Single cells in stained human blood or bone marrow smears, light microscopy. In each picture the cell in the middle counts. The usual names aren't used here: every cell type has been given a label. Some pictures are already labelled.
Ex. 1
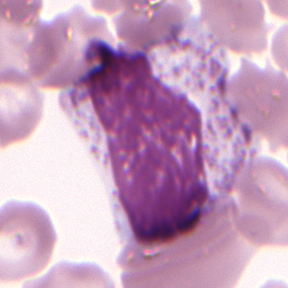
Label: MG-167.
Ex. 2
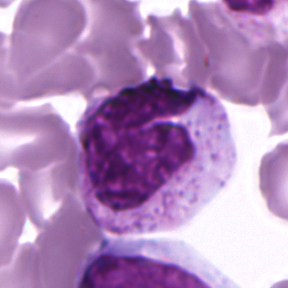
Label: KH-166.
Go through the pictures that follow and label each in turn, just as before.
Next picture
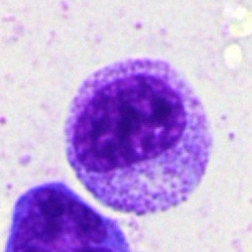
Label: MG-167.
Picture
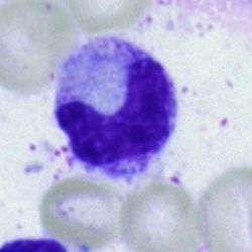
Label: KH-166.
